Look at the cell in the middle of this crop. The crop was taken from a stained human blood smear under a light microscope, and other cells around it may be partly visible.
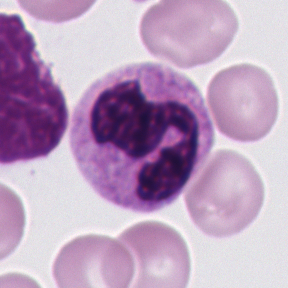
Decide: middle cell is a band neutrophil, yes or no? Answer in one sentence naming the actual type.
No, the central cell qualifies as a segmented neutrophil rather than as a band neutrophil.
